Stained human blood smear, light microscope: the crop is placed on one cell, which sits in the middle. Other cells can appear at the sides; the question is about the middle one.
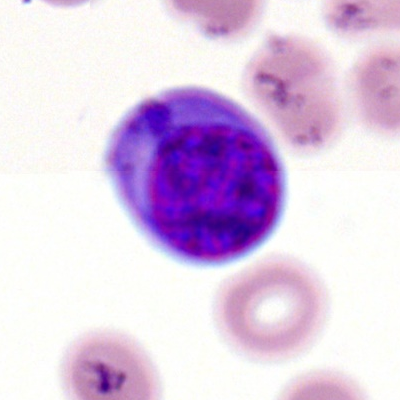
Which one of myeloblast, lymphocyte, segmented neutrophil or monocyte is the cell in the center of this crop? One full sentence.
Centred in the crop is a lymphocyte.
